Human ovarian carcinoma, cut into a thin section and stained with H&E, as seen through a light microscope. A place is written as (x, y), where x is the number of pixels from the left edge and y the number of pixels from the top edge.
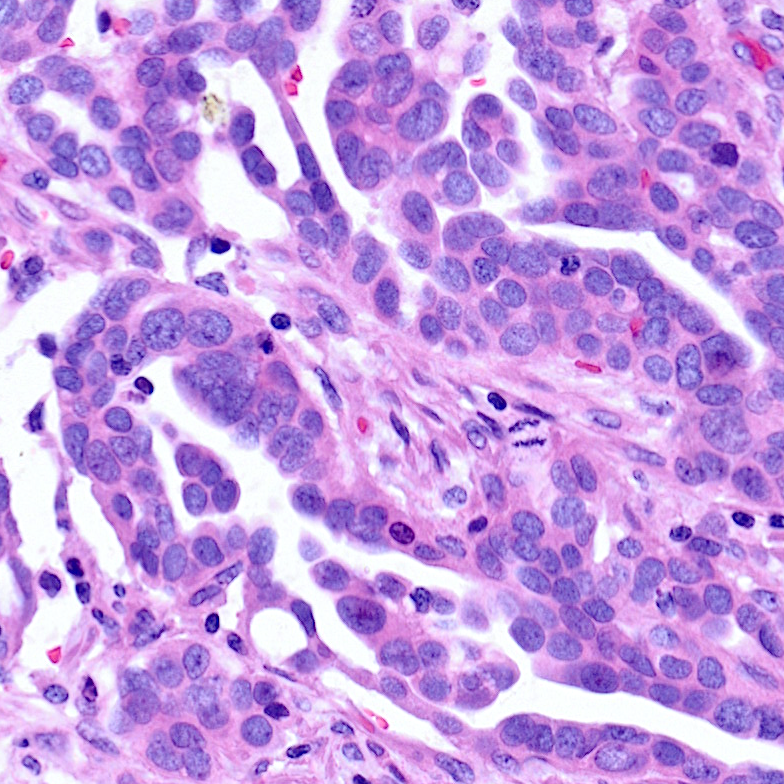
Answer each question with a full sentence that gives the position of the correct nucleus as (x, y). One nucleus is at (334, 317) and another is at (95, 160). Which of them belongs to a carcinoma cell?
It is at (95, 160) that the nucleus of a carcinoma cell is found.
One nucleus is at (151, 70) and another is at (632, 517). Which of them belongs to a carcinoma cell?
Belonging to a carcinoma cell is the nucleus at (151, 70).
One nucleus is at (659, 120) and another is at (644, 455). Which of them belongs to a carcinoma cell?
The nucleus situated at (659, 120) is the one belonging to a carcinoma cell.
